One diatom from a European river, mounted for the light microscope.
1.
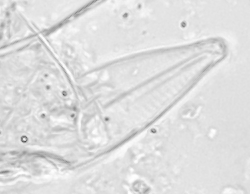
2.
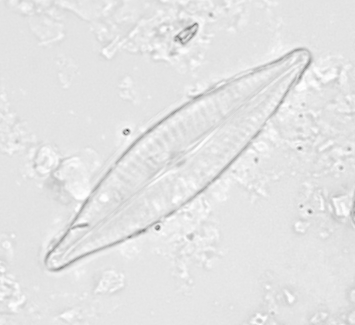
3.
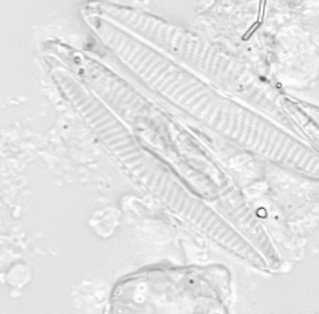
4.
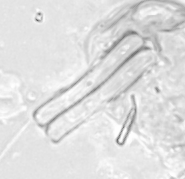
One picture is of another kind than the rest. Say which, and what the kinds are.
Picture 4 shows Achnanthidium; the rest show Navicula.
